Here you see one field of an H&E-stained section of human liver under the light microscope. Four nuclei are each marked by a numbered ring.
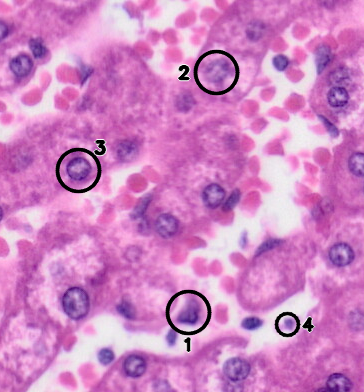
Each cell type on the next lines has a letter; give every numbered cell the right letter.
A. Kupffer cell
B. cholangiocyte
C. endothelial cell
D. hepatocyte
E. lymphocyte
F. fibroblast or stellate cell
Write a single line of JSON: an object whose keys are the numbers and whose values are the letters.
{"1": "A", "2": "D", "3": "D", "4": "E"}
